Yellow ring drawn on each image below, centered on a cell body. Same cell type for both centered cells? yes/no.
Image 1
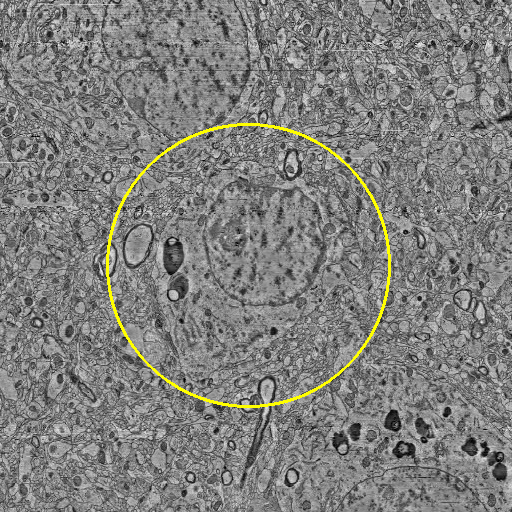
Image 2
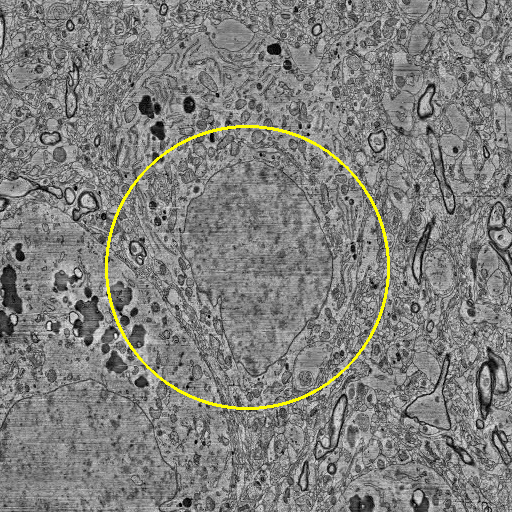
yes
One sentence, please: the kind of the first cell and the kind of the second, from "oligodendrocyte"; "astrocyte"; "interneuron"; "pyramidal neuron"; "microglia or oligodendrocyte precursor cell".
The cell in the first picture is an interneuron, and so is the one in the second.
